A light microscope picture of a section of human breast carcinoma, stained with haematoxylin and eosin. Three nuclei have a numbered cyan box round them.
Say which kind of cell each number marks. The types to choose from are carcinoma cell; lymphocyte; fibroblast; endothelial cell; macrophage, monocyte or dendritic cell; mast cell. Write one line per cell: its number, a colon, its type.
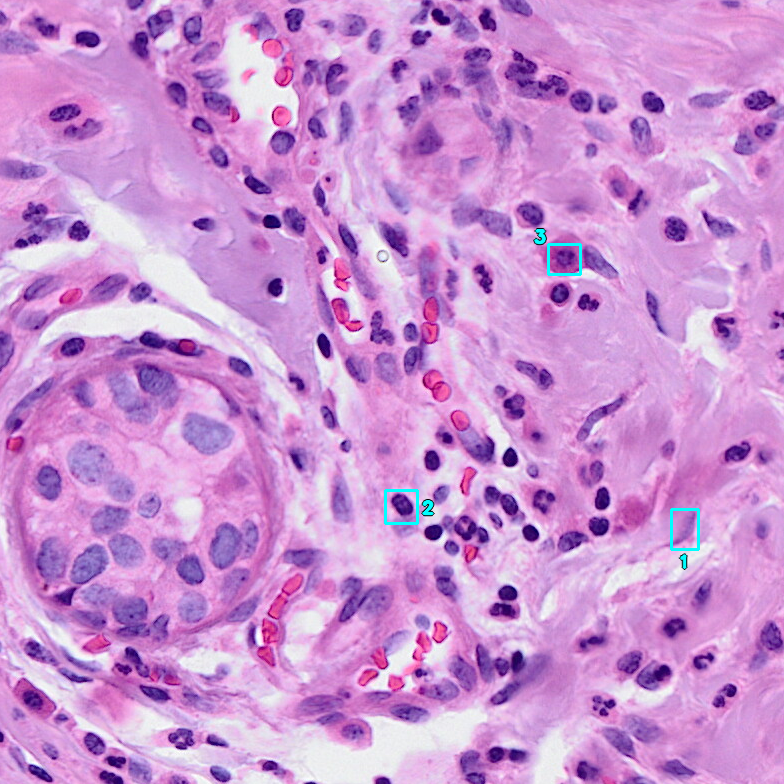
1: fibroblast
2: lymphocyte
3: mast cell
